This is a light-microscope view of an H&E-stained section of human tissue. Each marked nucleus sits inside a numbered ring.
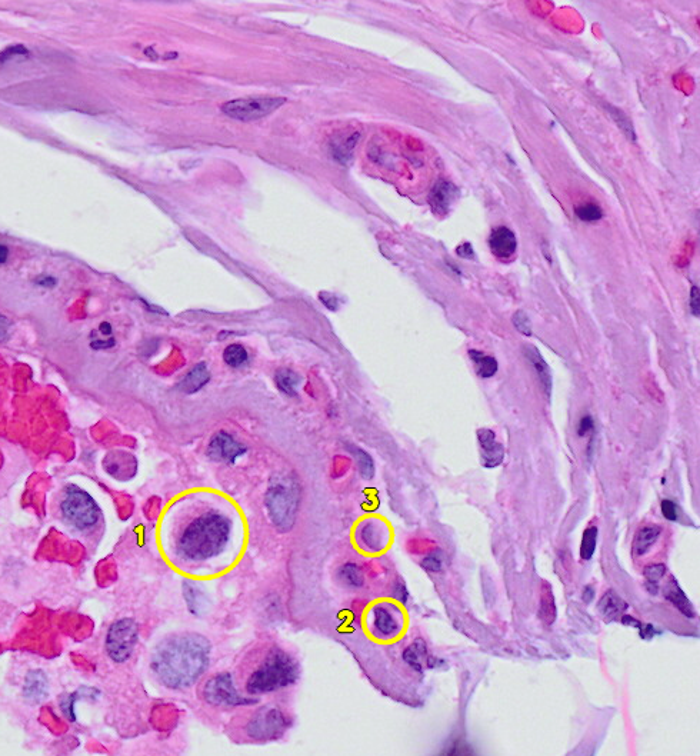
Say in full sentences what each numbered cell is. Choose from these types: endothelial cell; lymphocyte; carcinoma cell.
Cell 1 is a carcinoma cell, cell 2 is an endothelial cell and cell 3 is an endothelial cell.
